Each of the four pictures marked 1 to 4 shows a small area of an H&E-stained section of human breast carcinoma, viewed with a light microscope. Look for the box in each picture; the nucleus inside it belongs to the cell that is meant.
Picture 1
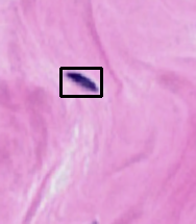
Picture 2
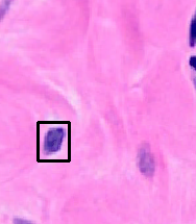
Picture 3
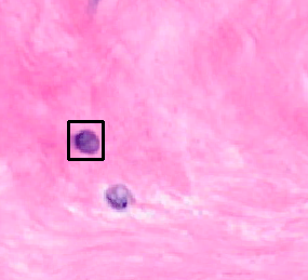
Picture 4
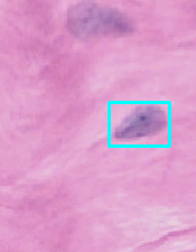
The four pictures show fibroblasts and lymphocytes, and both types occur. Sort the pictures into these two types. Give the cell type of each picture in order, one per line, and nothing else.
fibroblast
lymphocyte
lymphocyte
fibroblast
